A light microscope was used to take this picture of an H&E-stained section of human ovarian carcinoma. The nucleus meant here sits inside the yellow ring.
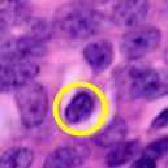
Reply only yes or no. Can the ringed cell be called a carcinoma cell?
no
